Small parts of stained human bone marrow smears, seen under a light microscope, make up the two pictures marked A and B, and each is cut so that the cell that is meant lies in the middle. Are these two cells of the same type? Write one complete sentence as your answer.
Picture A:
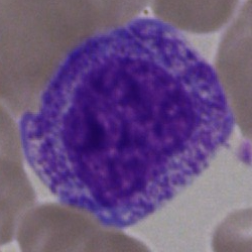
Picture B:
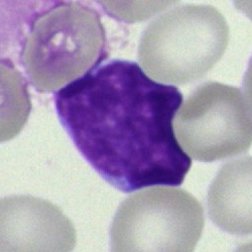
No; the cell in picture A is a promyelocyte, while the one in picture B is a blast.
